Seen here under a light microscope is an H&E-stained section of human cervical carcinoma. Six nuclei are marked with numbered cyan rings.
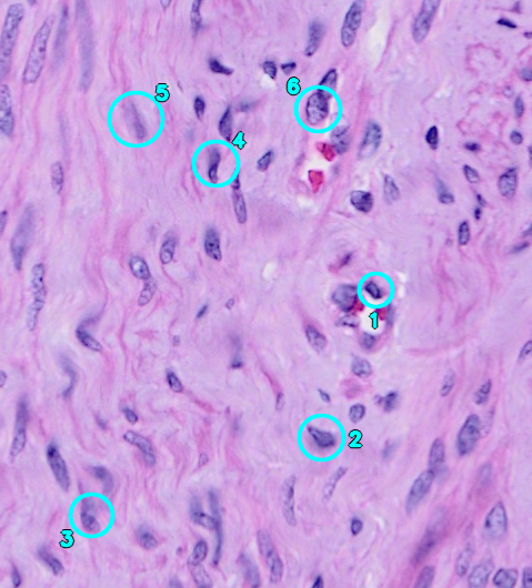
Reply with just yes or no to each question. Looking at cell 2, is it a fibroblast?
yes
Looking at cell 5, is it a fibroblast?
no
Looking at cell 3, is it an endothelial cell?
no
